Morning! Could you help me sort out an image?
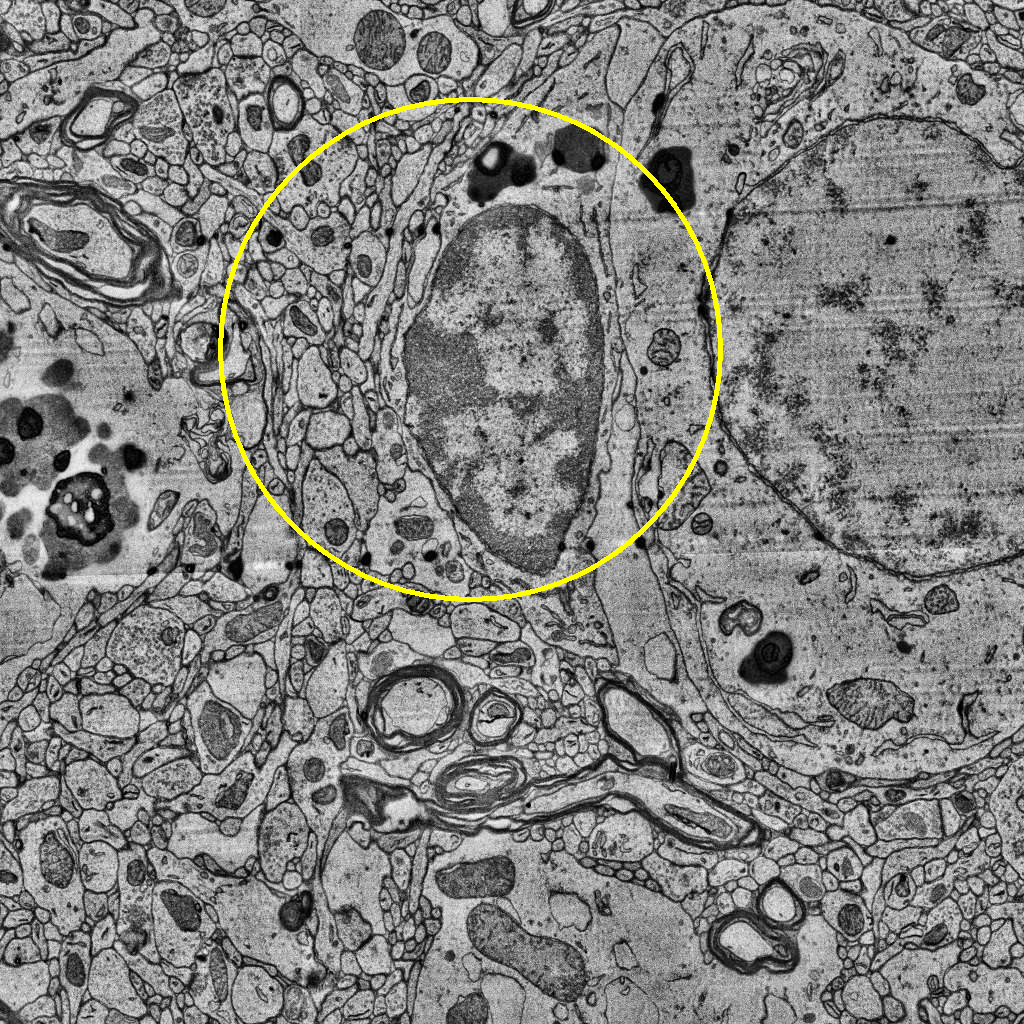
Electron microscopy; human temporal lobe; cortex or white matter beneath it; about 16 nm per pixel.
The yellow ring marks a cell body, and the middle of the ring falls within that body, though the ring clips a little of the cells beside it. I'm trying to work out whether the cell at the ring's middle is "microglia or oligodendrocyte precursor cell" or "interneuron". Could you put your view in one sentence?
The cell body at the ring's middle is that of a microglial cell or oligodendrocyte precursor cell.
